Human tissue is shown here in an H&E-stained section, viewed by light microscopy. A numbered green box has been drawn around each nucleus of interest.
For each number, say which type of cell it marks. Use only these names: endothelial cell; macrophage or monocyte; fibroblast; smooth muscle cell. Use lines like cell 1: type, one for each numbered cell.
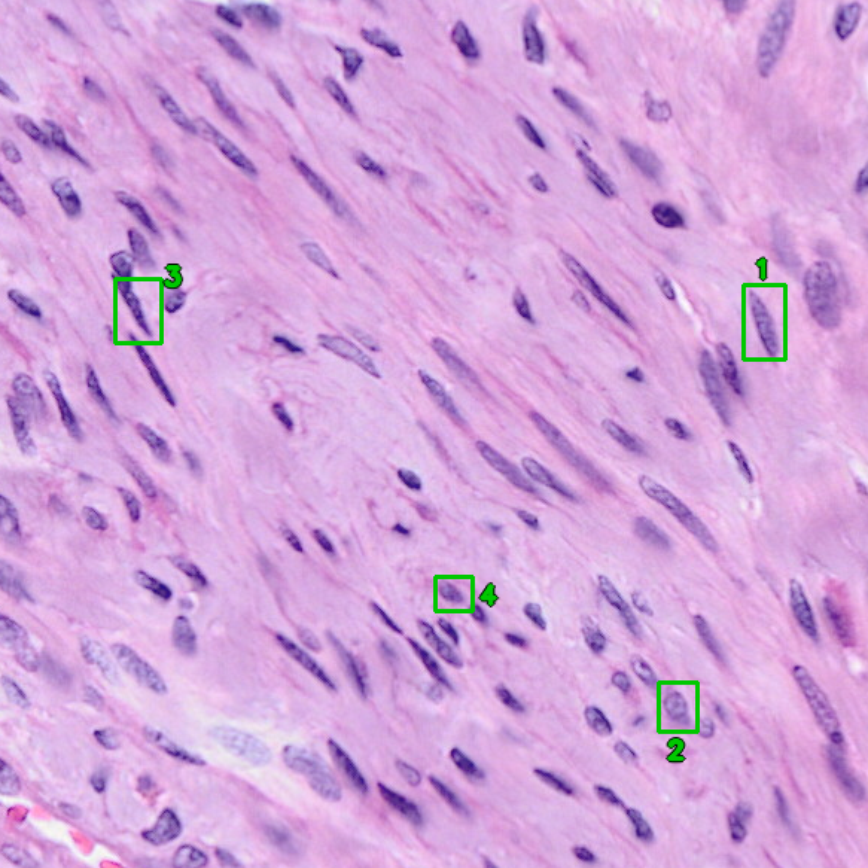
cell 1: fibroblast
cell 2: smooth muscle cell
cell 3: fibroblast
cell 4: smooth muscle cell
